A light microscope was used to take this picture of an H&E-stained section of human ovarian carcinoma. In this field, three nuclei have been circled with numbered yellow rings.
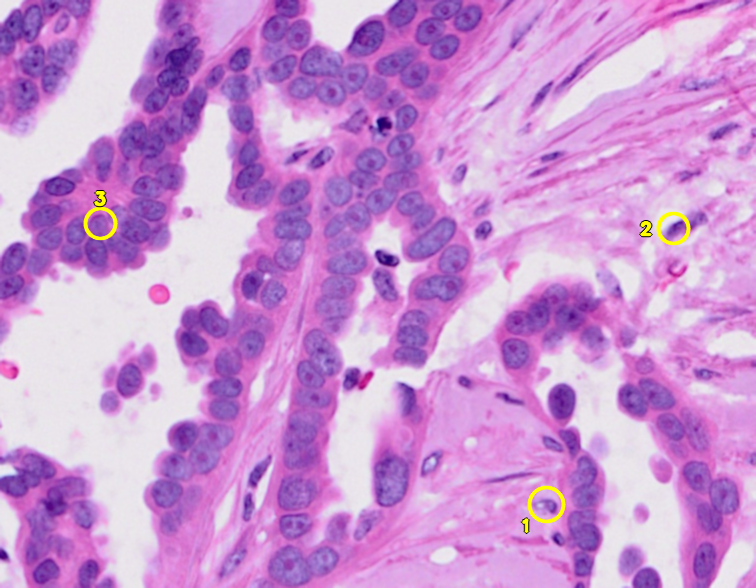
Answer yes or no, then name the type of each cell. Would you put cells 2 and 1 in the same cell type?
Yes, both of the numbered cells concerned, 2 and 1, are fibroblasts.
